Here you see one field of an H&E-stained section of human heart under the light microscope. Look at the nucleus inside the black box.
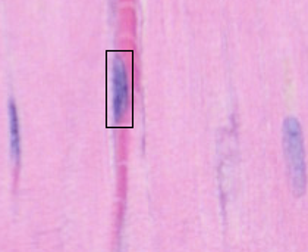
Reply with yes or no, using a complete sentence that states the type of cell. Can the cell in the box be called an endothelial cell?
Yes, an endothelial cell is the identity of the cell in the box in this section.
